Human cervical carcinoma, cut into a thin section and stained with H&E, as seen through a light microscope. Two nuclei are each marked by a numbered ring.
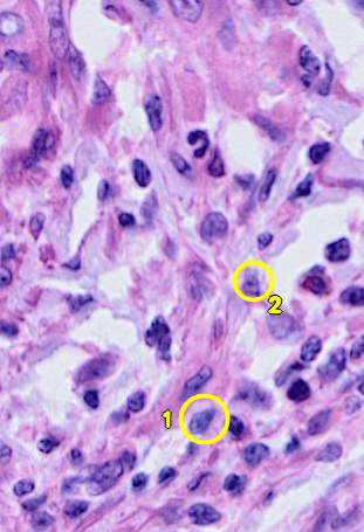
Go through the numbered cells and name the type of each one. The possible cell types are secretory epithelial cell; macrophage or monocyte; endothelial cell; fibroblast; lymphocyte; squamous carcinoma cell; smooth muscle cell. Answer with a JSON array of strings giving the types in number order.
["lymphocyte", "fibroblast"]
